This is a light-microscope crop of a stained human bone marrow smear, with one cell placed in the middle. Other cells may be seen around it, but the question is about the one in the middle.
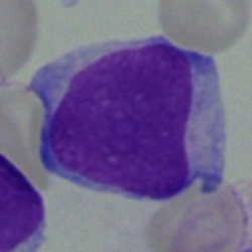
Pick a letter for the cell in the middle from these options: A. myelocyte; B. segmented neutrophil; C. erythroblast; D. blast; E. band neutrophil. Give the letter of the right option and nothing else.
D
